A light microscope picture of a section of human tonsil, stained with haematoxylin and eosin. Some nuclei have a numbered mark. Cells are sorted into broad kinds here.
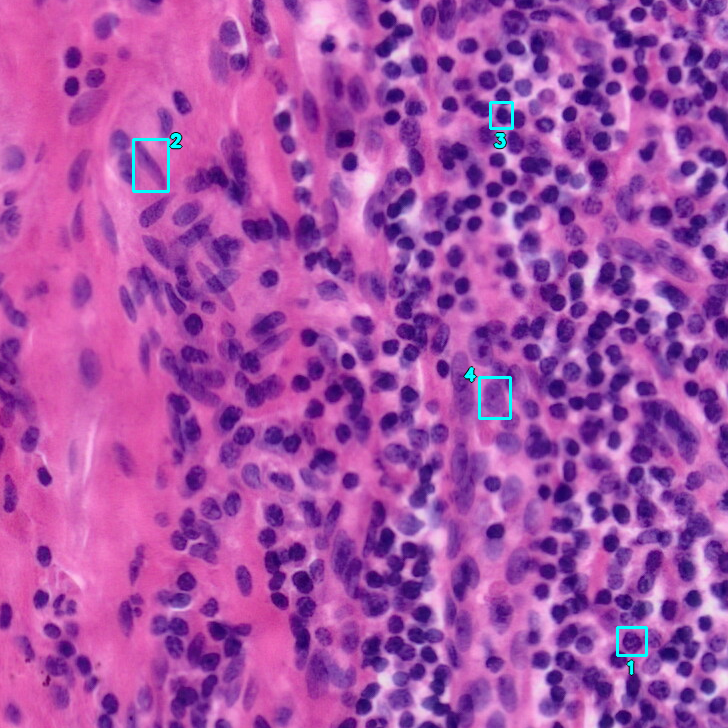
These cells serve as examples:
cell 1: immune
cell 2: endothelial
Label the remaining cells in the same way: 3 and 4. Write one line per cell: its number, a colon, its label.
3: immune
4: endothelial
